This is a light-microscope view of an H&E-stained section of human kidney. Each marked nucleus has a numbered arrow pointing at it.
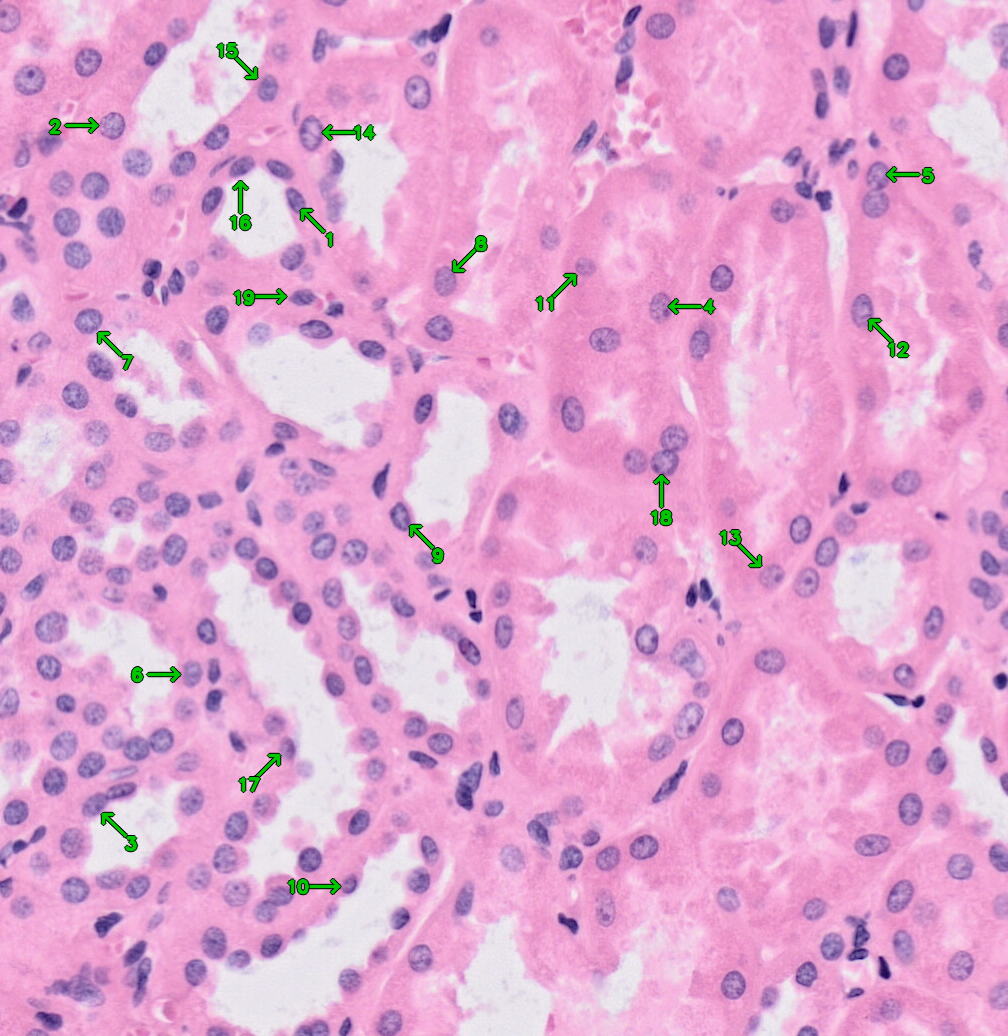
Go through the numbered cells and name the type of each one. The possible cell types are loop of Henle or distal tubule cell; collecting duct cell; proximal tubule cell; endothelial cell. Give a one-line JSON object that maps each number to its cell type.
{"1": "loop of Henle or distal tubule cell", "2": "loop of Henle or distal tubule cell", "3": "loop of Henle or distal tubule cell", "4": "proximal tubule cell", "5": "proximal tubule cell", "6": "loop of Henle or distal tubule cell", "7": "loop of Henle or distal tubule cell", "8": "proximal tubule cell", "9": "loop of Henle or distal tubule cell", "10": "loop of Henle or distal tubule cell", "11": "proximal tubule cell", "12": "proximal tubule cell", "13": "proximal tubule cell", "14": "proximal tubule cell", "15": "loop of Henle or distal tubule cell", "16": "loop of Henle or distal tubule cell", "17": "loop of Henle or distal tubule cell", "18": "proximal tubule cell", "19": "endothelial cell"}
